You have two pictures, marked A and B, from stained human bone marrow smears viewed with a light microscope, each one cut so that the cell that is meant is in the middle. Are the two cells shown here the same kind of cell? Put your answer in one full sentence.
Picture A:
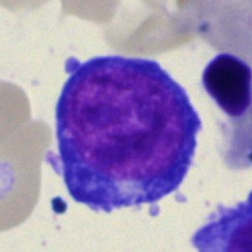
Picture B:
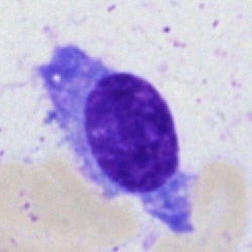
No. Picture A shows a proerythroblast, but picture B shows a plasma cell.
